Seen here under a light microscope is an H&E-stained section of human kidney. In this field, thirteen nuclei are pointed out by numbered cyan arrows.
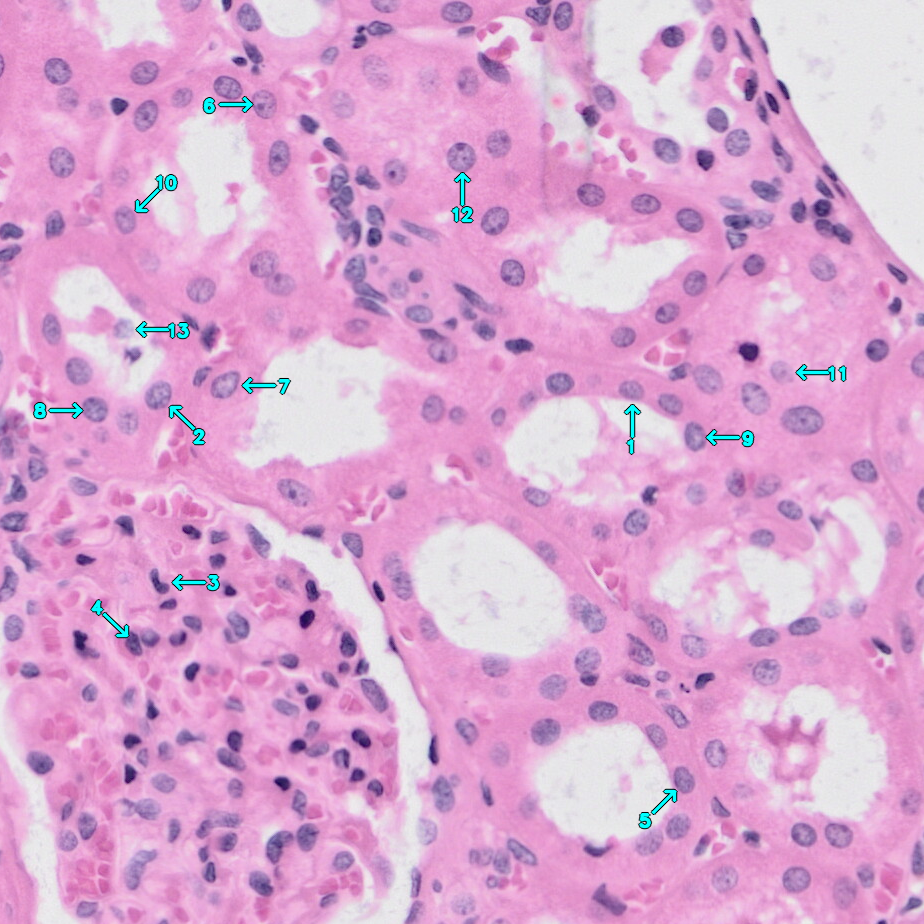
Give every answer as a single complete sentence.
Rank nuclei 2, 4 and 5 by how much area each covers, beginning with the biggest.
From largest to smallest, the order is 2, 5, 4.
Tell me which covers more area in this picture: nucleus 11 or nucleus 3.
The larger nucleus is 11, at roughly 1.5 times the area of 3.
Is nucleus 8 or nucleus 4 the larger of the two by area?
Number 8 is larger; its area is about 2 times that of number 4.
